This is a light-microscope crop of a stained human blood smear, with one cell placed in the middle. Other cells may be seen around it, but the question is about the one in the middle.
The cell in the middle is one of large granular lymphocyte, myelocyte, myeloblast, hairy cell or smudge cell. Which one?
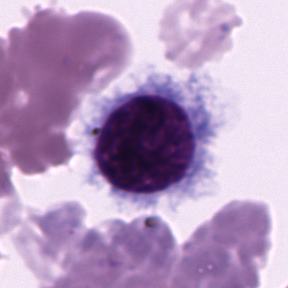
hairy cell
